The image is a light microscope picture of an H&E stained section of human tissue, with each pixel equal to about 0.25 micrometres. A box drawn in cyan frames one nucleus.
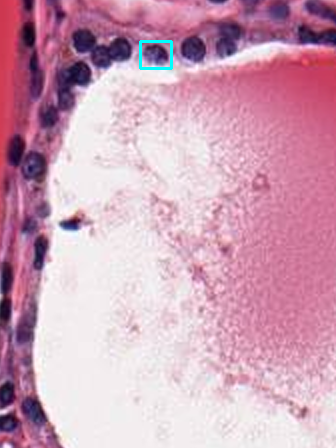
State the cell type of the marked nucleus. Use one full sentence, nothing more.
In the section shown, the marked nucleus belongs to a thyroid follicular cell.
